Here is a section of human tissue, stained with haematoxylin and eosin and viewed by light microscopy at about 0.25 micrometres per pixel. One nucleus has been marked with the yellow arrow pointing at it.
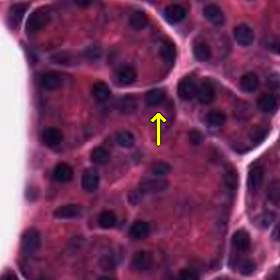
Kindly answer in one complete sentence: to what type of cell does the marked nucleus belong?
The marked nucleus is a nucleus of a pancreatic acinar cell.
